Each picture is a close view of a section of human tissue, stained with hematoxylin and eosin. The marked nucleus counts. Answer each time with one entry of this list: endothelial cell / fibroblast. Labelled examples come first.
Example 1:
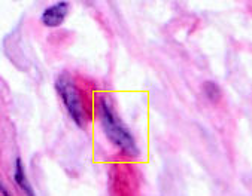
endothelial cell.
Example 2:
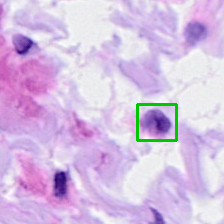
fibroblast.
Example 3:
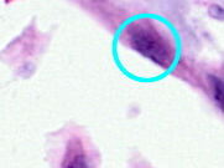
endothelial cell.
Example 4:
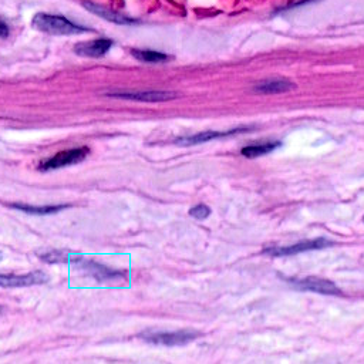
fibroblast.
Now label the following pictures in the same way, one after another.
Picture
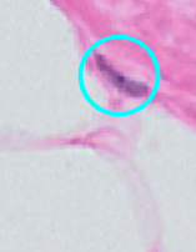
fibroblast.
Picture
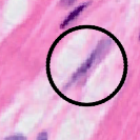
fibroblast.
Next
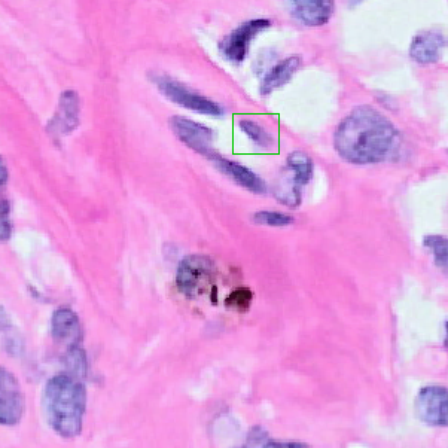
endothelial cell.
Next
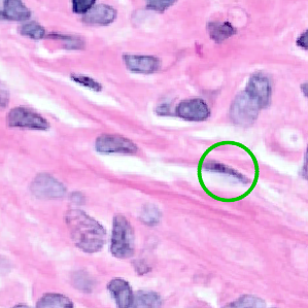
fibroblast.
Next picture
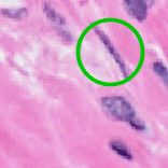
fibroblast.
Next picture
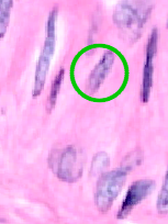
endothelial cell.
